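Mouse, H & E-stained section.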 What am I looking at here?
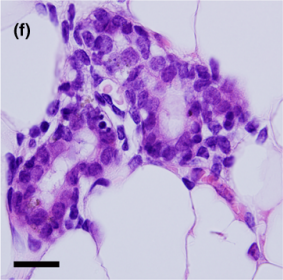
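Section of mammary fat pad showing a small epithelial duct cut obliquely, lined by closely packed cells with dark purple, oval nuclei and scant cytoplasm around a narrow lumen. A thin layer of flattened cells lies at the outer edge of the epithelium. Large, empty-looking fat cells with thin pink rims border the duct below and at the sides.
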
